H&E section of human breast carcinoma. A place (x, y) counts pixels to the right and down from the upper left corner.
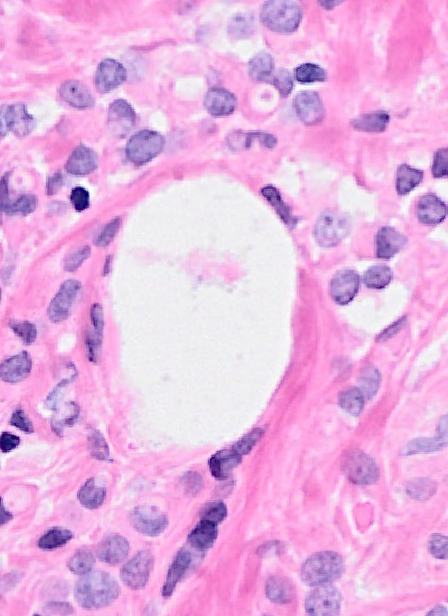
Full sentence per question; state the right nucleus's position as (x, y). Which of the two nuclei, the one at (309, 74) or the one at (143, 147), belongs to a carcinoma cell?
Among the two, the nucleus at (143, 147) is the nucleus of a carcinoma cell.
